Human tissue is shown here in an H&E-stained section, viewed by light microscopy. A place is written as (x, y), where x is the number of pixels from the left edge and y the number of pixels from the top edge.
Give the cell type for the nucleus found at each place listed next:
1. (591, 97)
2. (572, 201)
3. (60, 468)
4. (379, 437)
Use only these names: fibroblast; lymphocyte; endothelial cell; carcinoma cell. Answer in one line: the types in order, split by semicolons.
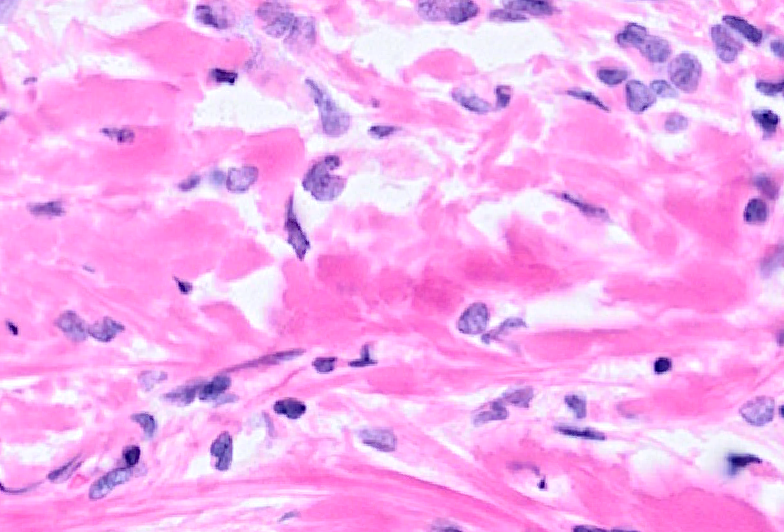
fibroblast; fibroblast; endothelial cell; fibroblast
